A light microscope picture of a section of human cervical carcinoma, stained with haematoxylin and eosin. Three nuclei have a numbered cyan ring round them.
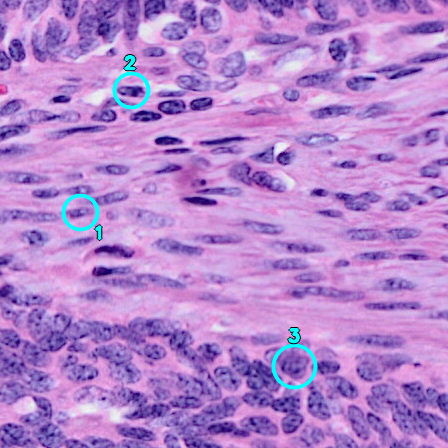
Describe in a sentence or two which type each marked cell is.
Cell 1 is a smooth muscle cell, cell 2 is a lymphocyte and cell 3 is a squamous carcinoma cell.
